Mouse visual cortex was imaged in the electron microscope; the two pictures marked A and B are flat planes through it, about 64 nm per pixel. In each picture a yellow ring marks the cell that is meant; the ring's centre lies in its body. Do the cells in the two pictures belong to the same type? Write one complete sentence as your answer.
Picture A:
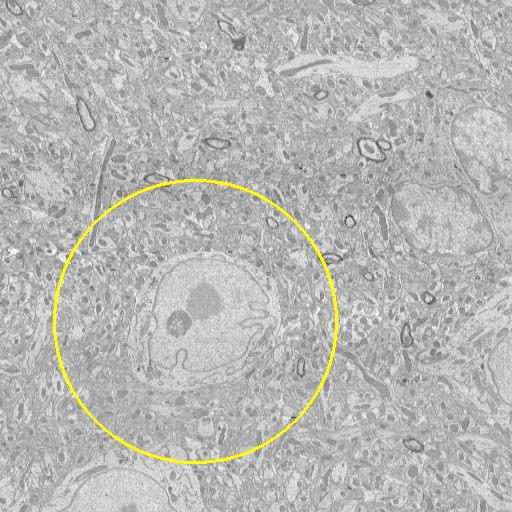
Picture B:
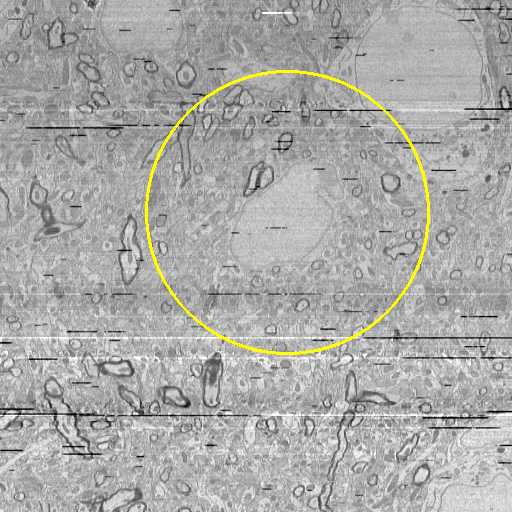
No. Picture A shows an inhibitory neuron, but picture B shows an astrocyte.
